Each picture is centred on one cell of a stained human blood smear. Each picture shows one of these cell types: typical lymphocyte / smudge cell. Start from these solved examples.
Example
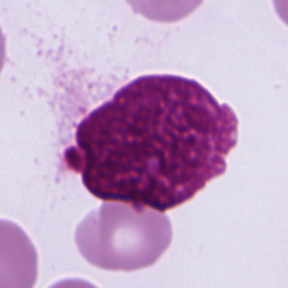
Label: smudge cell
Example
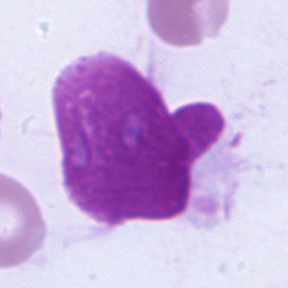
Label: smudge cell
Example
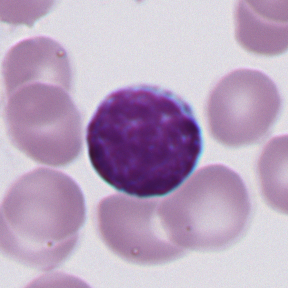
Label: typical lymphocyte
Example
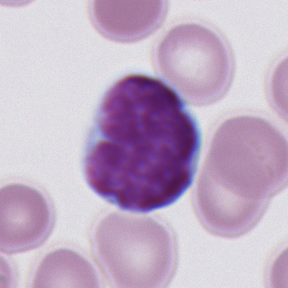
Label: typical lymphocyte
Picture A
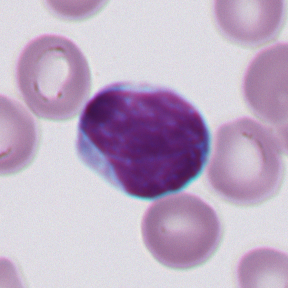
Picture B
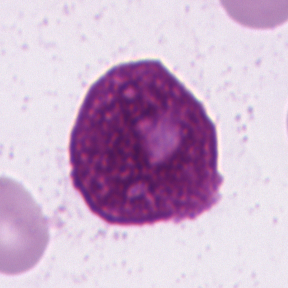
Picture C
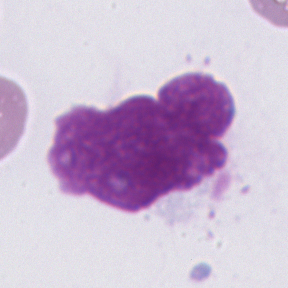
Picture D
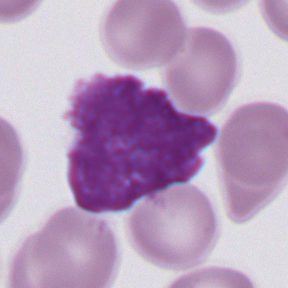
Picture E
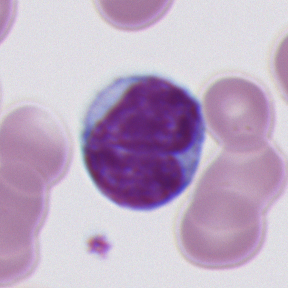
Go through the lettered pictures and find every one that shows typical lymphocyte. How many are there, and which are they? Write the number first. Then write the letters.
2: A, E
